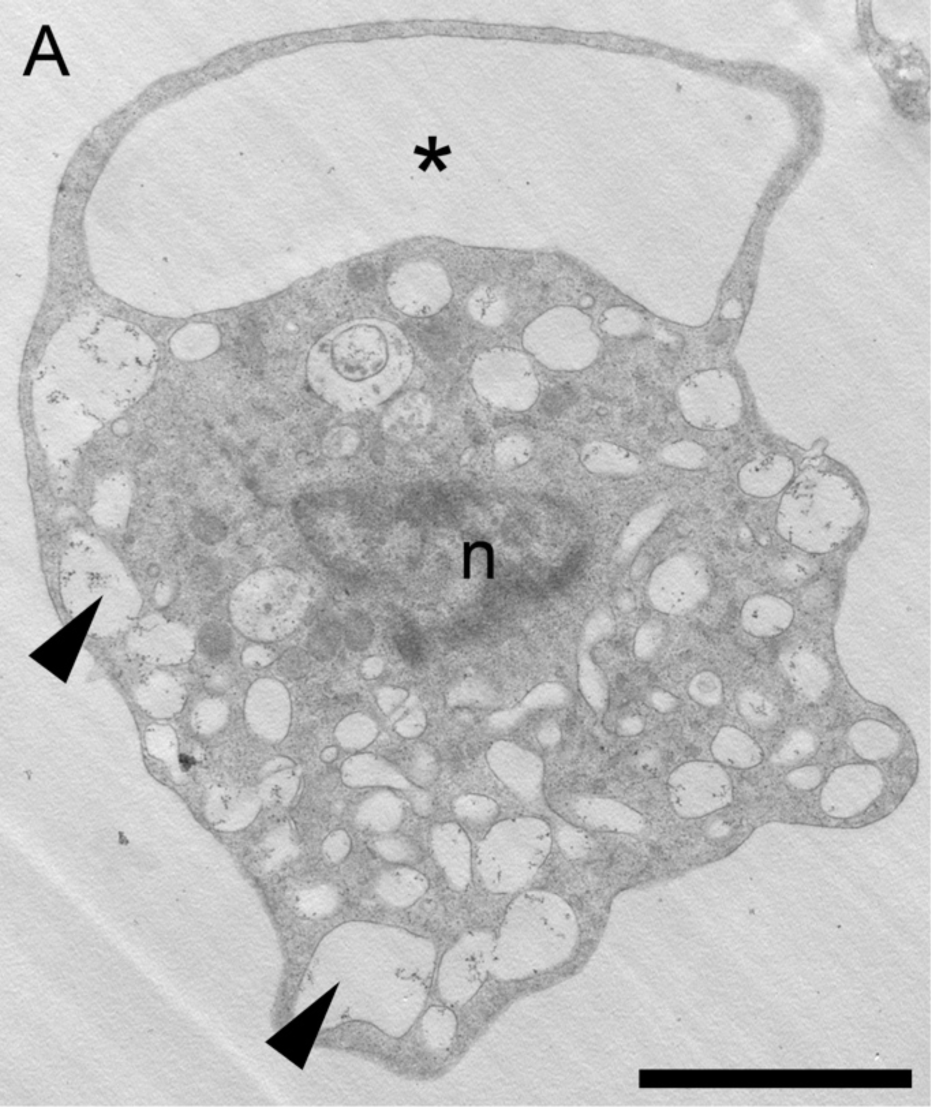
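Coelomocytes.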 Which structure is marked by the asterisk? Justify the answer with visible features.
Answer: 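A thin band of cytoplasm arches out from the cell body and returns to it. It encloses a large empty space above the cell. The answer: a process forming a loop.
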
